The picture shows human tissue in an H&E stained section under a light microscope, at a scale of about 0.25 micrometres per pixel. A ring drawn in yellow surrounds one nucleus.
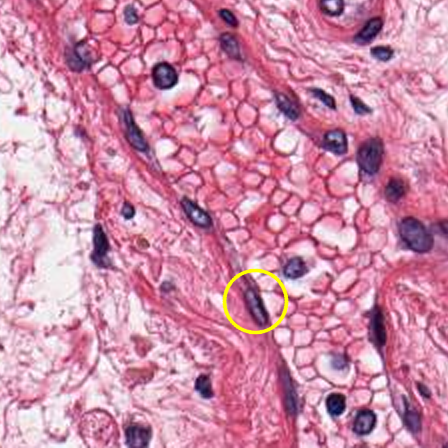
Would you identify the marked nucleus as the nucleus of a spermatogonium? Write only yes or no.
no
